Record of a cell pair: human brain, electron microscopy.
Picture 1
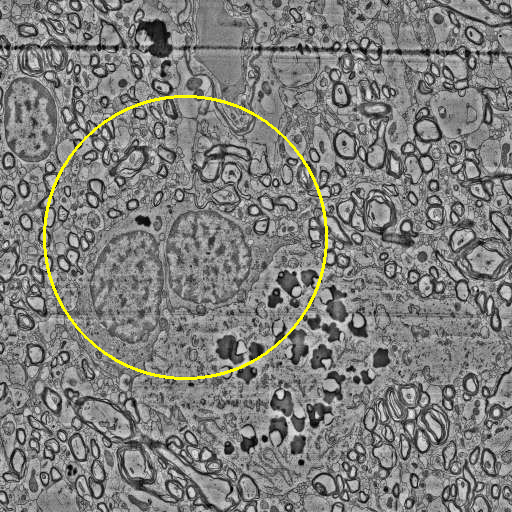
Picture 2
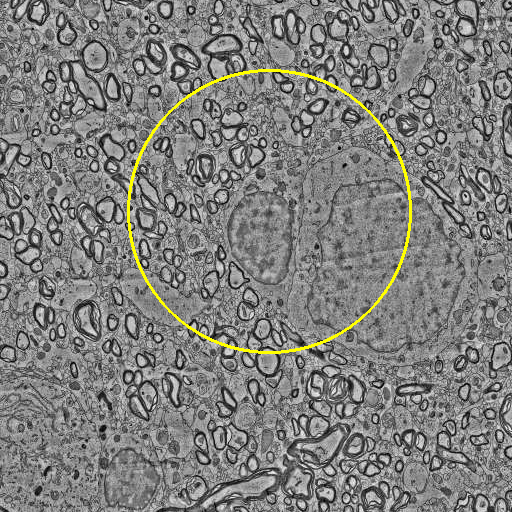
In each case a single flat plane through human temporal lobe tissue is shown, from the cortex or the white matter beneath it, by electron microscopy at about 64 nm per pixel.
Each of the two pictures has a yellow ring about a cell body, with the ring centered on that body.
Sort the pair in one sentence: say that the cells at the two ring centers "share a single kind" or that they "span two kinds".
The cells centered in the rings of Pictures 1 and 2 share a single kind.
